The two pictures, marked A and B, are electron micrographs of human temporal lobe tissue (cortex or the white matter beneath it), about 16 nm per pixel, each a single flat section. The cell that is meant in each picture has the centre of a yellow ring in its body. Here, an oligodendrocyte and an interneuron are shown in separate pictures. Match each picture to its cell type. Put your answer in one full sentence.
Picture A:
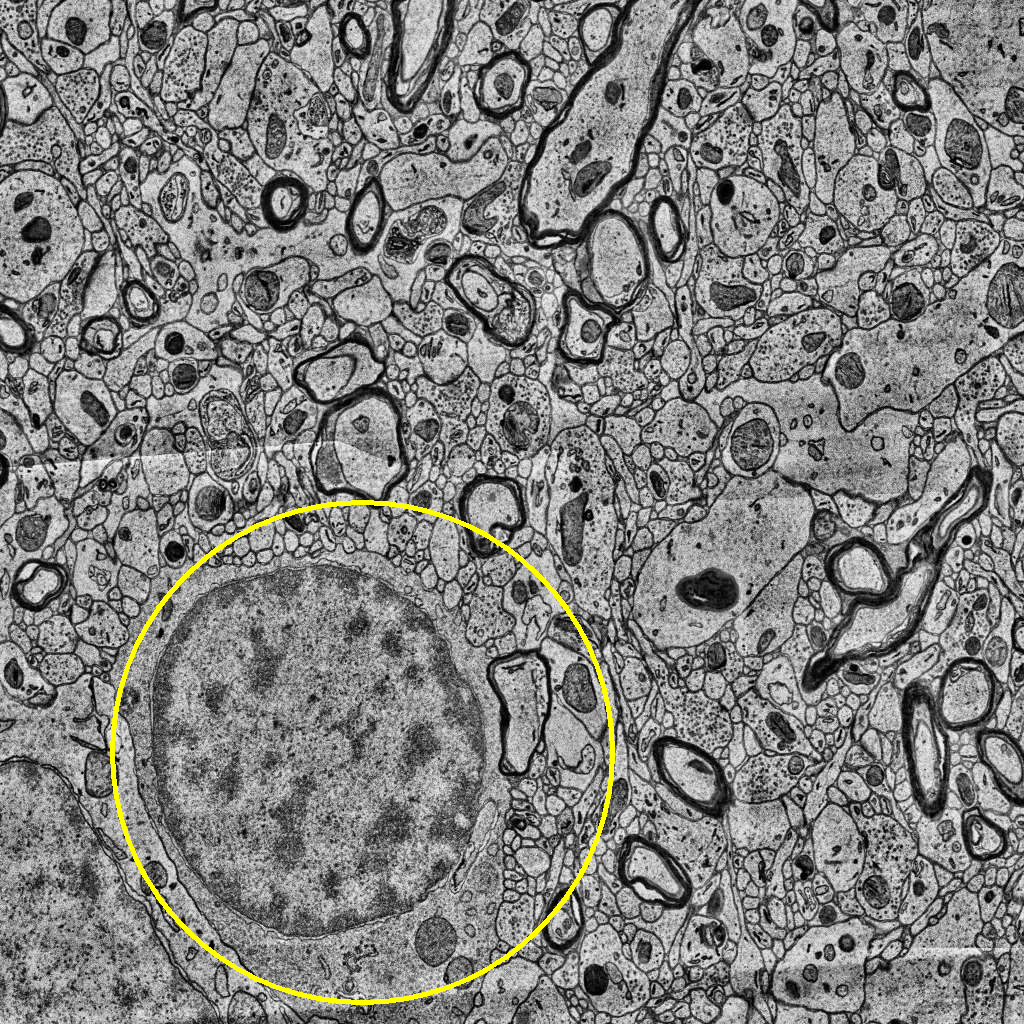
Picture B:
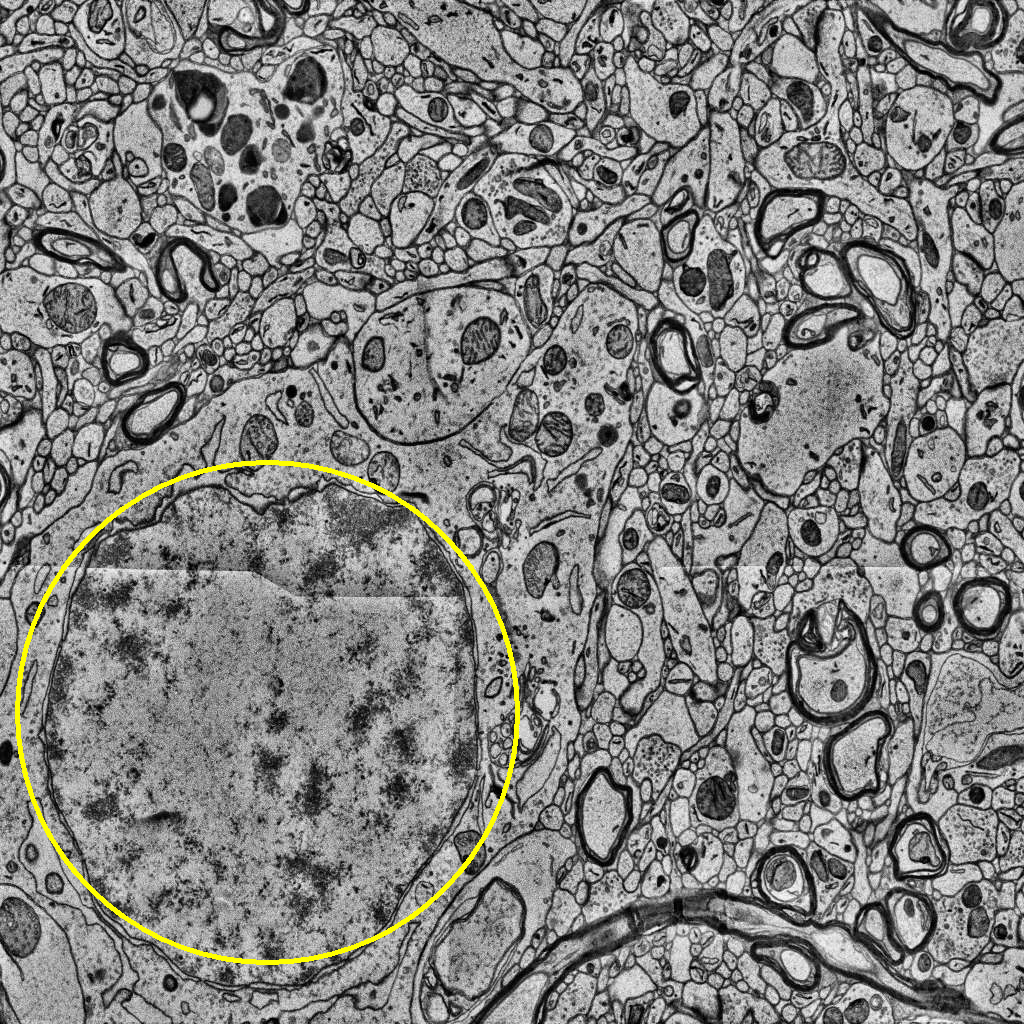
The cell in picture A is an oligodendrocyte, and the one in picture B is an interneuron.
